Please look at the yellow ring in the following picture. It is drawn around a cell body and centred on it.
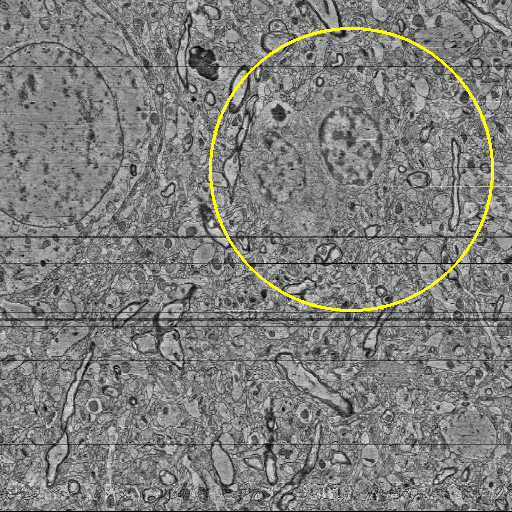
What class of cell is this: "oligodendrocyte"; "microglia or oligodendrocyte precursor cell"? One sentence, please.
The ring surrounds the cell body of an oligodendrocyte.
